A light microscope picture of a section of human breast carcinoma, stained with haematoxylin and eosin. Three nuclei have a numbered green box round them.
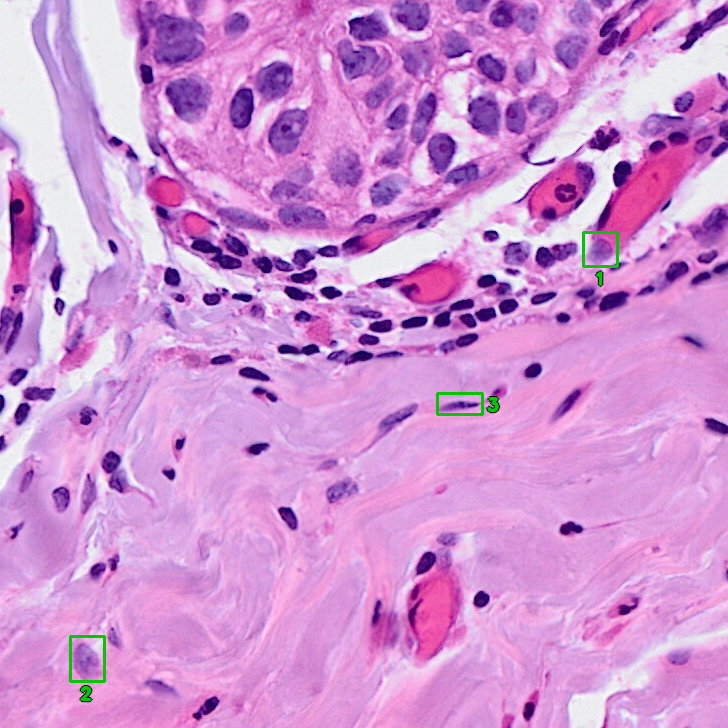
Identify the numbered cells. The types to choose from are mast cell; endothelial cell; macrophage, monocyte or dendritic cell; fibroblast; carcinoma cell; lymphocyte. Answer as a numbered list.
1. endothelial cell
2. fibroblast
3. fibroblast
